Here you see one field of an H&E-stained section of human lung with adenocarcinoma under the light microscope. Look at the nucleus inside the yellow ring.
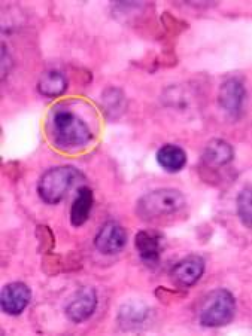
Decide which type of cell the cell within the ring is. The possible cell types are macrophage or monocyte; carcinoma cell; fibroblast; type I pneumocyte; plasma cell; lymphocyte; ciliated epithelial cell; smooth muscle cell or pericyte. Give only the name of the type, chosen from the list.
macrophage or monocyte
